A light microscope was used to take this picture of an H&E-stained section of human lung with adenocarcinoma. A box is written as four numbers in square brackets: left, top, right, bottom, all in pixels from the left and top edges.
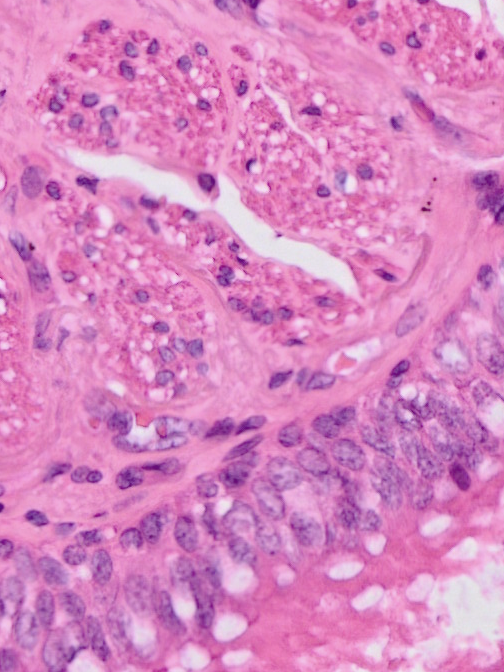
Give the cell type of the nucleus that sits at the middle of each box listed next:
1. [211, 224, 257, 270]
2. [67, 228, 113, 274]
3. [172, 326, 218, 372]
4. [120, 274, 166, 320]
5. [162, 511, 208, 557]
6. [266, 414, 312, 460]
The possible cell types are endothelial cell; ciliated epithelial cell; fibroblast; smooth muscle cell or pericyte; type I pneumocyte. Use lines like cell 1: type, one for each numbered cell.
cell 1: smooth muscle cell or pericyte
cell 2: smooth muscle cell or pericyte
cell 3: smooth muscle cell or pericyte
cell 4: smooth muscle cell or pericyte
cell 5: ciliated epithelial cell
cell 6: ciliated epithelial cell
